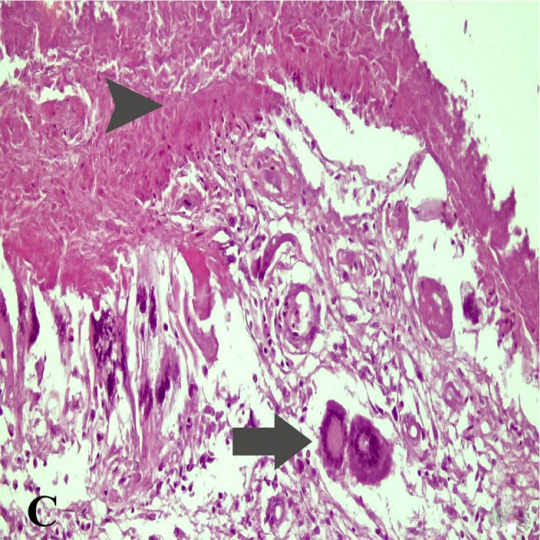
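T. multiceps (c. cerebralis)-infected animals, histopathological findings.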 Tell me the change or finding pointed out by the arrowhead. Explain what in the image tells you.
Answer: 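The arrowhead lies in a broad band of pink, structureless material with few recognisable nuclei.
Hence: extensive areas of necrosis.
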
